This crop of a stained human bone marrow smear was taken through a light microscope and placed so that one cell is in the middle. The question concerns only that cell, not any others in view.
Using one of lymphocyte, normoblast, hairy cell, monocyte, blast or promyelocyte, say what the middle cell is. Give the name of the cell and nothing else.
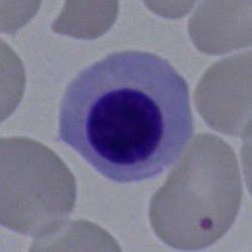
normoblast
